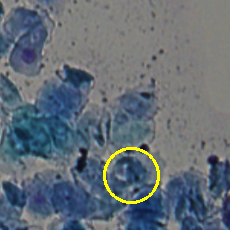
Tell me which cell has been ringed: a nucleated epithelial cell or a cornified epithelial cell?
It is a cornified epithelial cell.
